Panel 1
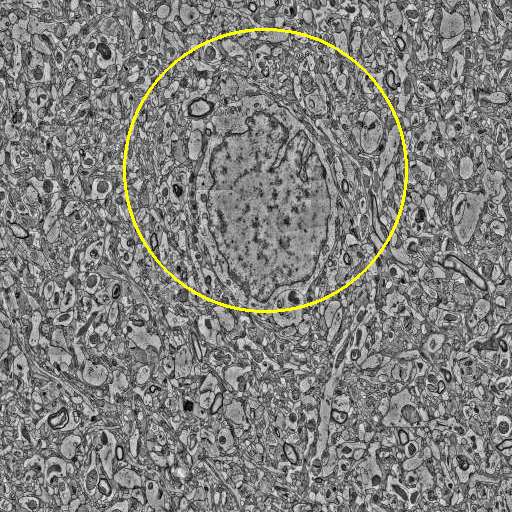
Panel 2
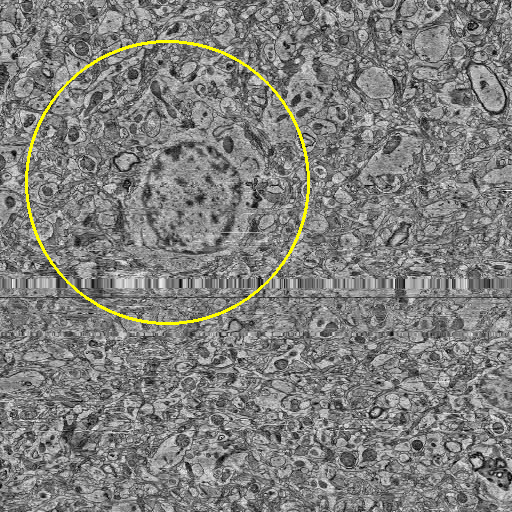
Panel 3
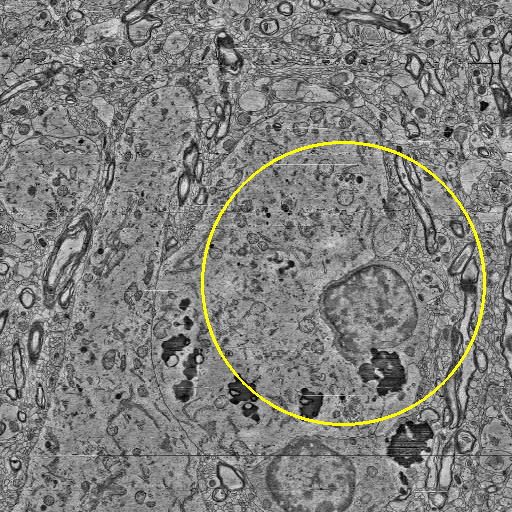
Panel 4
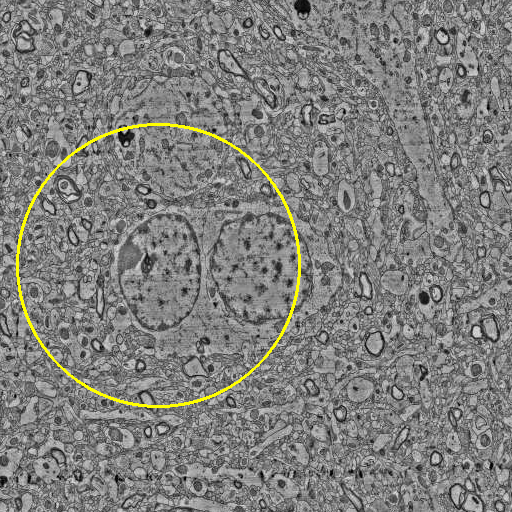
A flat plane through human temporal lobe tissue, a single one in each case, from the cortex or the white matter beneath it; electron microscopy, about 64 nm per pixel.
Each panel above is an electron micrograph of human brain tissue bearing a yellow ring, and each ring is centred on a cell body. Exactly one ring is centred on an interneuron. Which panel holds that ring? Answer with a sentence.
That ring is in Panel 1.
